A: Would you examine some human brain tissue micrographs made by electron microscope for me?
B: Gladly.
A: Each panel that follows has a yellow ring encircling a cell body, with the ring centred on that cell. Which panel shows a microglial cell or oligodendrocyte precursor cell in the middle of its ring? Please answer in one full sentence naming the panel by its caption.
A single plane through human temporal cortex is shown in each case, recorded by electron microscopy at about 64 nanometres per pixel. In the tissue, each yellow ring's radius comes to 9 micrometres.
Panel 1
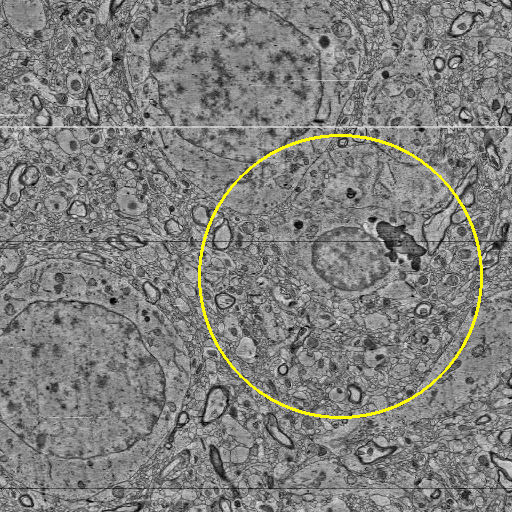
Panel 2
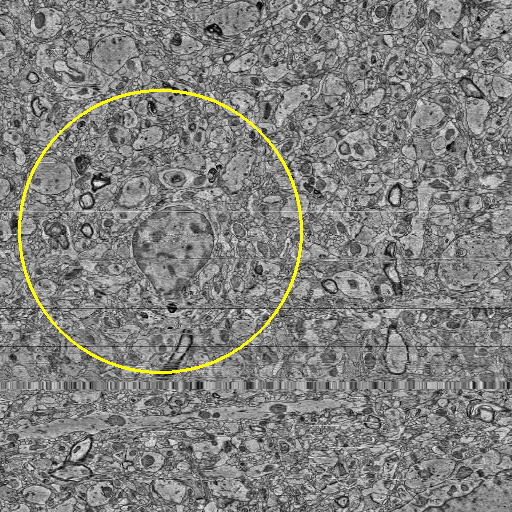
Panel 2 is where the ring sits centred on the requested cell.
